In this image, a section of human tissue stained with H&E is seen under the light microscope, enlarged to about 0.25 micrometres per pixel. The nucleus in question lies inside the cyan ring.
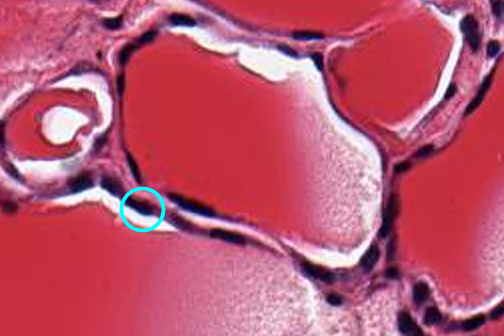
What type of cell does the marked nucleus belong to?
thyroid follicular cell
